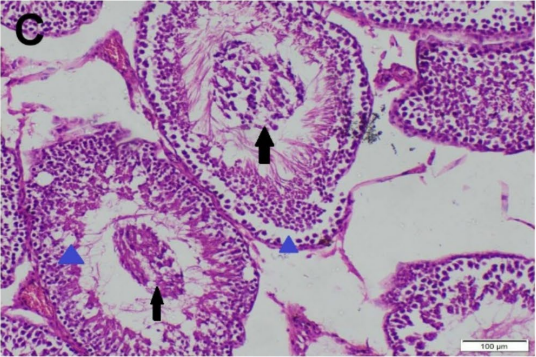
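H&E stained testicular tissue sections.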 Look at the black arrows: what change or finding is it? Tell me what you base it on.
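Clumps of detached cells lie free in the tubule lumen. The arrows point at these loose cell masses away from the tubule wall.
Conclusion: germ cell desquamation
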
